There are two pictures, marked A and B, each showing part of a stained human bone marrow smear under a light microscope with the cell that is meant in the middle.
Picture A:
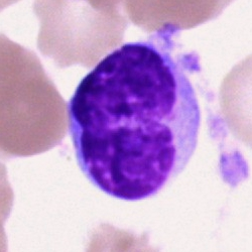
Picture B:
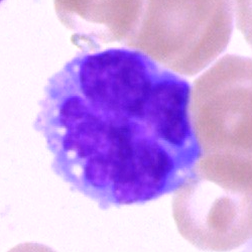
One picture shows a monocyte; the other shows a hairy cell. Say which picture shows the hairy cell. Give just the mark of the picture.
A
